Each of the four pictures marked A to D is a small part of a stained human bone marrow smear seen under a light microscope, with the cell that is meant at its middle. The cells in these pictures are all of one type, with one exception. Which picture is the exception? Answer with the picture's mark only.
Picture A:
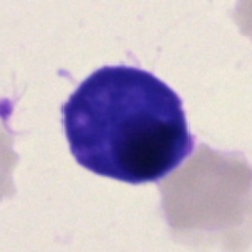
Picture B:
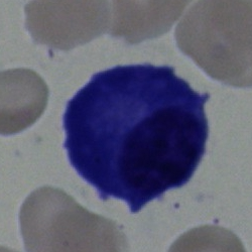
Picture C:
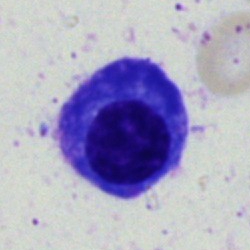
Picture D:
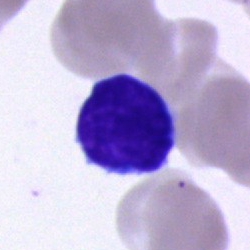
D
